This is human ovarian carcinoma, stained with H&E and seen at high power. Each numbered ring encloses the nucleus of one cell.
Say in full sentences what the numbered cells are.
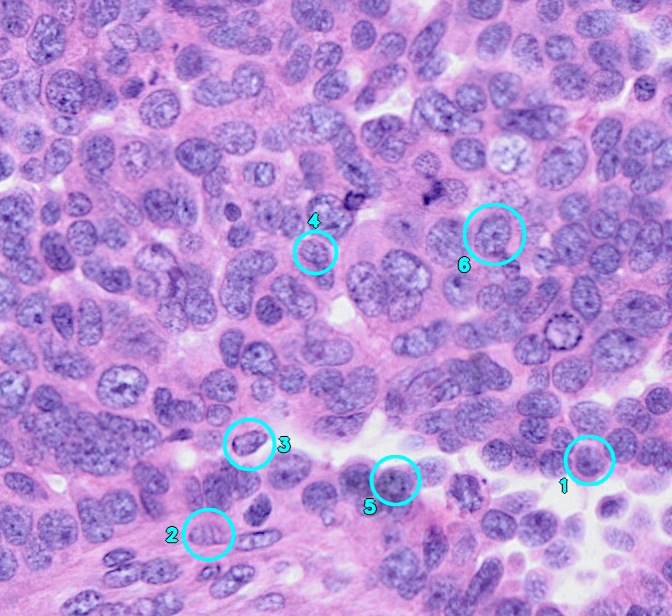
Cells 1, 4, 5 and 6 are carcinoma cells. Cell 2 is a fibroblast. Cell 3 is a macrophage or monocyte.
